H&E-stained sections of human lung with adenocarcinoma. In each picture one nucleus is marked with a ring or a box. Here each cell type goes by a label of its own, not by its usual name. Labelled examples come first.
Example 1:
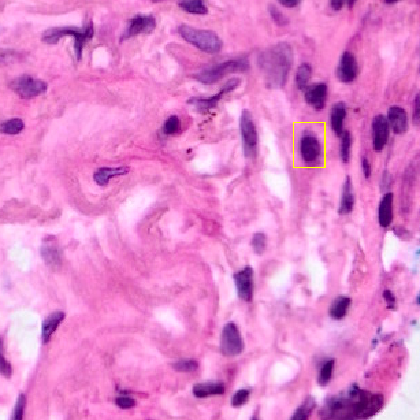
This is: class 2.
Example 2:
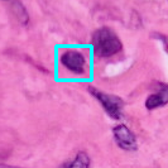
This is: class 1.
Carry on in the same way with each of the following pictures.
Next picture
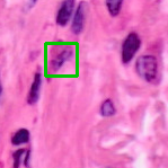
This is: class 2.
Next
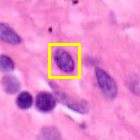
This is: class 1.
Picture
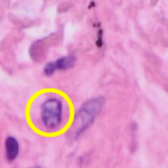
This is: class 1.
